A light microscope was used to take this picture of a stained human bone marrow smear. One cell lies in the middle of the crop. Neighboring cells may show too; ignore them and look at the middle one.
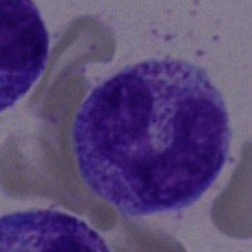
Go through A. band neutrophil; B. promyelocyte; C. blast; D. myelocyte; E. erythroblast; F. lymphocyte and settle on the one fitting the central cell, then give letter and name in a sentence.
At the centre of the crop lies a band neutrophil, which makes option A correct.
